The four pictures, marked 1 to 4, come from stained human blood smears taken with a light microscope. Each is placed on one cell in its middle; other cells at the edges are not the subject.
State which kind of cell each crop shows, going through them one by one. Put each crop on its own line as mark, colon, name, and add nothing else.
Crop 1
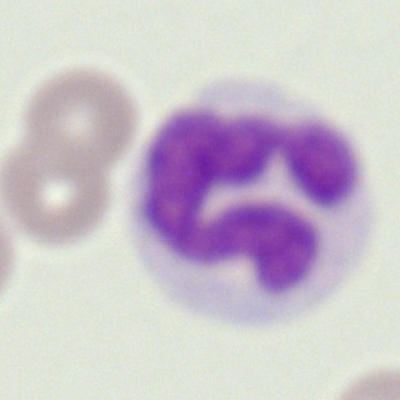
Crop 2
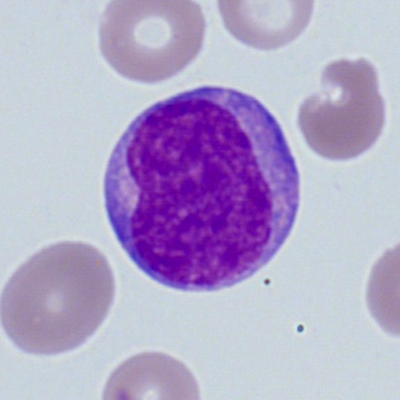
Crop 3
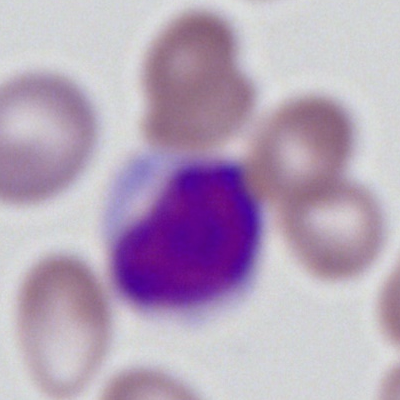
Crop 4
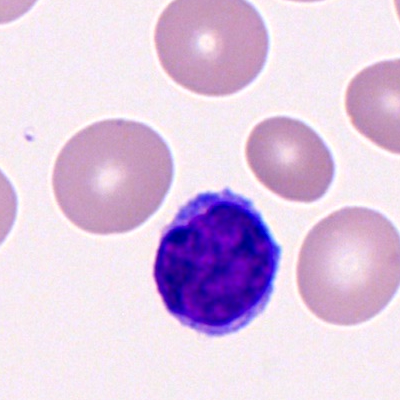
1: monocyte
2: myeloblast
3: lymphocyte
4: lymphocyte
